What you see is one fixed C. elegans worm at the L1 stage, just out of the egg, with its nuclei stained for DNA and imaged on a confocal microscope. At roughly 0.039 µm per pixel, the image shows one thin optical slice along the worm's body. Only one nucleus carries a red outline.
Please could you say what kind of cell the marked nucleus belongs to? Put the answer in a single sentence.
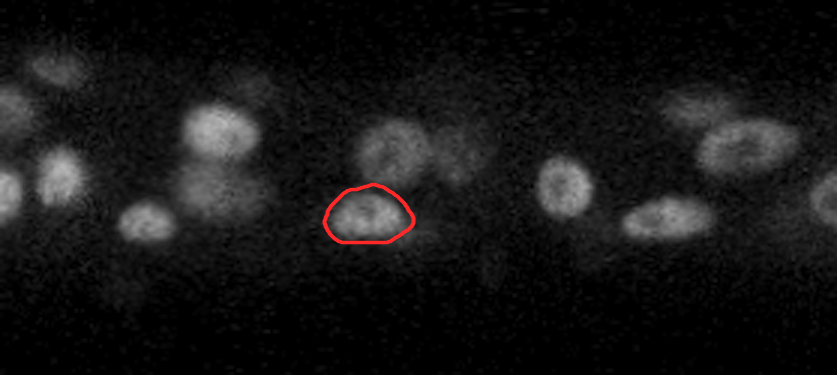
This nucleus is from a P cell (ventral epidermal blast cell).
